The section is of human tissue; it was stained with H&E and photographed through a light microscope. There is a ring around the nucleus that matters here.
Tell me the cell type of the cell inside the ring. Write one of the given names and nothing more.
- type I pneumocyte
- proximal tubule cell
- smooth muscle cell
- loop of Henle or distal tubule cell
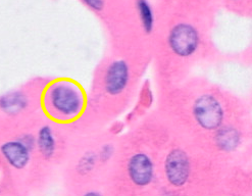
loop of Henle or distal tubule cell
